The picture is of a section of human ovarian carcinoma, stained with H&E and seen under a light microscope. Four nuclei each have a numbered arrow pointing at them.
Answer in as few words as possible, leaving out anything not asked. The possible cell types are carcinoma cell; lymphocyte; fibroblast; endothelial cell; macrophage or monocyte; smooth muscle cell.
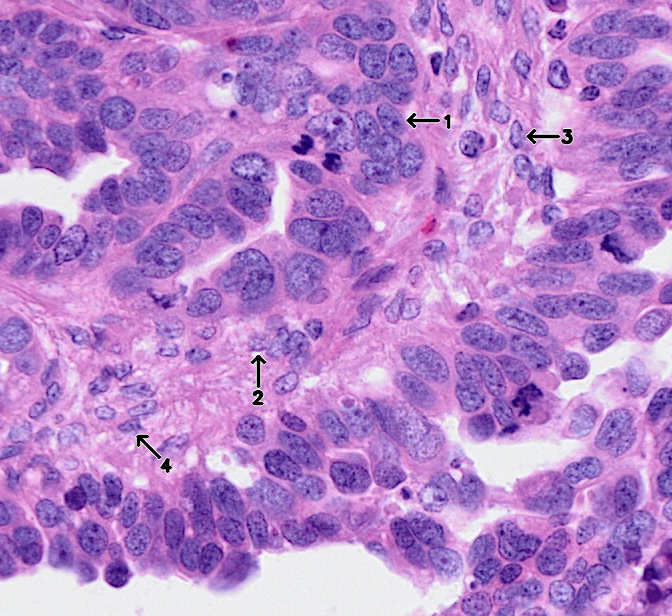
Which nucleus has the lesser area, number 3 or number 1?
3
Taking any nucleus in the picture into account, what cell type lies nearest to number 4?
fibroblast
